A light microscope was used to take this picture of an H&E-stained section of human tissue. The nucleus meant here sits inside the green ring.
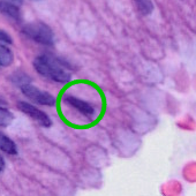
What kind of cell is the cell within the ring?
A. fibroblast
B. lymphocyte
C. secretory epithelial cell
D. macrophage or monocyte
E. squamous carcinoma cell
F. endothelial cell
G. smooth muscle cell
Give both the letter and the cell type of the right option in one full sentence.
In short, option C: the cell within the ring is a secretory epithelial cell.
